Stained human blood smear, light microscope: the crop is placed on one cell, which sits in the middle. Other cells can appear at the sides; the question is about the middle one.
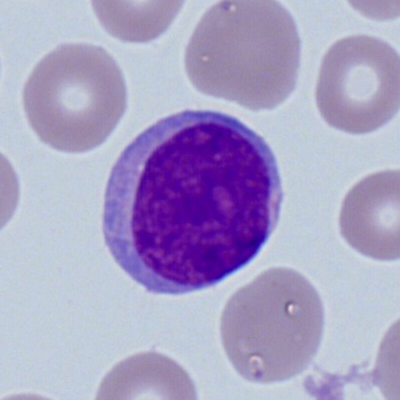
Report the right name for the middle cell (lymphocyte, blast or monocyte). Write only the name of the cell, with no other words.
blast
